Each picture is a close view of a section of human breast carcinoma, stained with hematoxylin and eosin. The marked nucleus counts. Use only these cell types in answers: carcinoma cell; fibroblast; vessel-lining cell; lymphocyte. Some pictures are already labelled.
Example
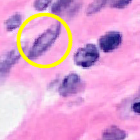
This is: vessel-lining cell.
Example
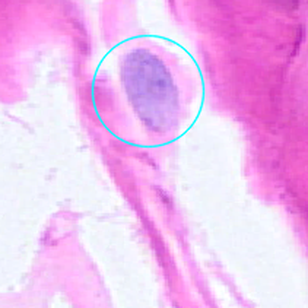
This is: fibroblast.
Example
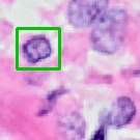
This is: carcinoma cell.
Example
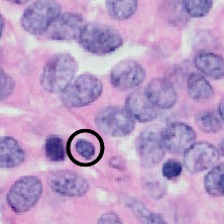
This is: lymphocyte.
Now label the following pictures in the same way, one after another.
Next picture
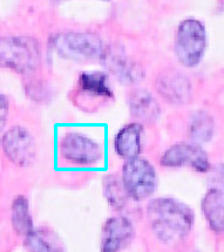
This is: carcinoma cell.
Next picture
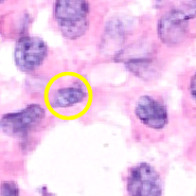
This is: vessel-lining cell.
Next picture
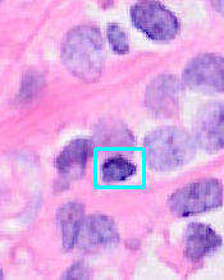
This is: lymphocyte.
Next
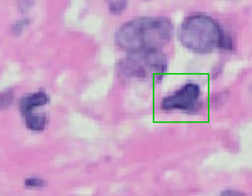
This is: lymphocyte.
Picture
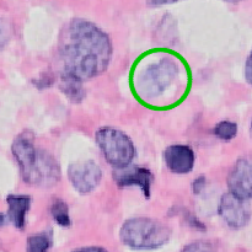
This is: carcinoma cell.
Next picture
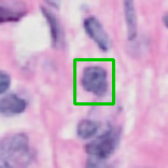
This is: lymphocyte.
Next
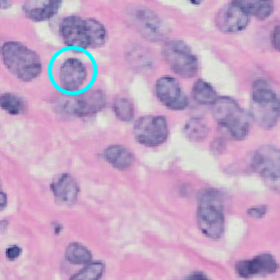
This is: carcinoma cell.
